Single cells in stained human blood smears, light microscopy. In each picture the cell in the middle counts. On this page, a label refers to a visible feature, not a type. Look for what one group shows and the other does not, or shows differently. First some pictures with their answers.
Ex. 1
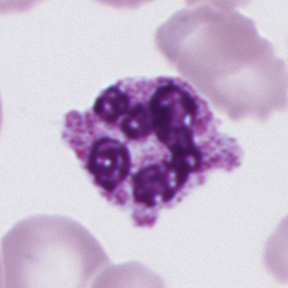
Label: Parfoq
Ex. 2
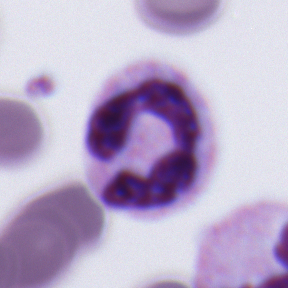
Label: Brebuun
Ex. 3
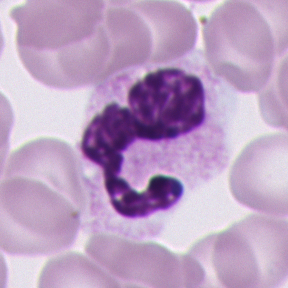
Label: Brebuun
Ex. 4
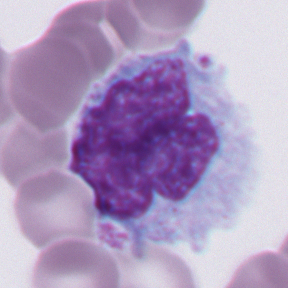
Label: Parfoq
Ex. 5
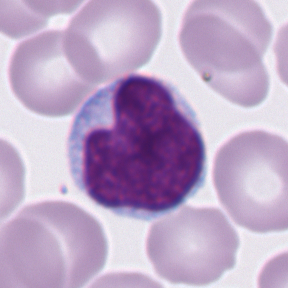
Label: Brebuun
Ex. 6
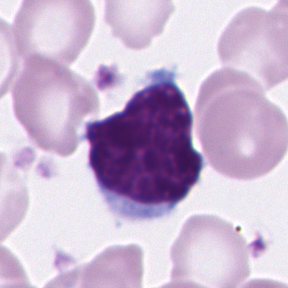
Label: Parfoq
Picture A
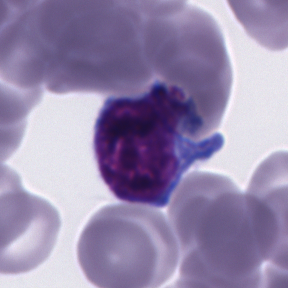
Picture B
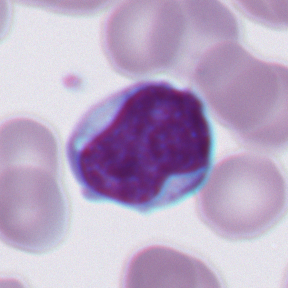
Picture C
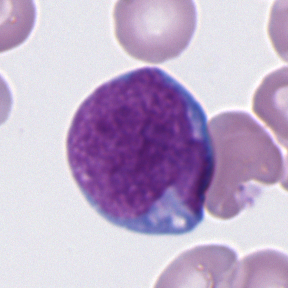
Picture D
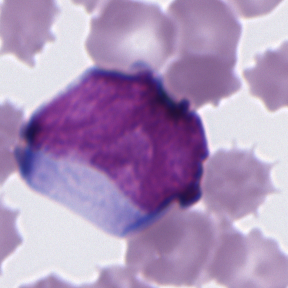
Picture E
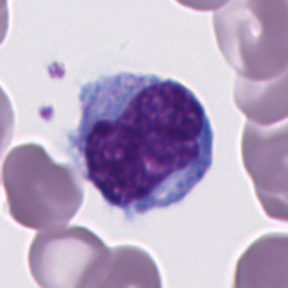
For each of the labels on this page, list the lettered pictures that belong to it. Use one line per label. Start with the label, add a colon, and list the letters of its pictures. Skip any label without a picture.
Parfoq: A, D, E
Brebuun: B, C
